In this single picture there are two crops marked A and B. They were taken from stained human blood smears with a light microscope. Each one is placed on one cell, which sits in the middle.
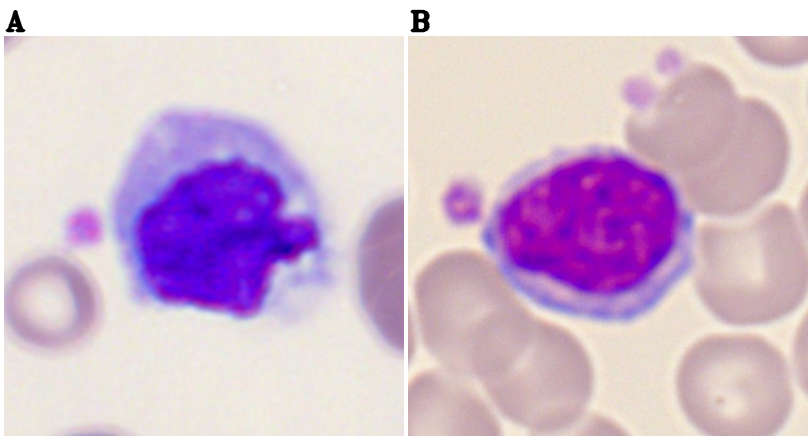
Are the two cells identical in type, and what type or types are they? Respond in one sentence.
No: a monocyte sits in crop A, and a lymphocyte sits in crop B.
